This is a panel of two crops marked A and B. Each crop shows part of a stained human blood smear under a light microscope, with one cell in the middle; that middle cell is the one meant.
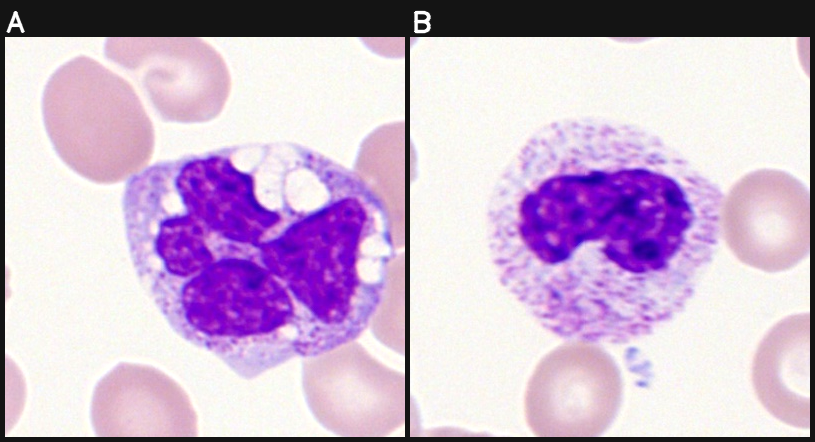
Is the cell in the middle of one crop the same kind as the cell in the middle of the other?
no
